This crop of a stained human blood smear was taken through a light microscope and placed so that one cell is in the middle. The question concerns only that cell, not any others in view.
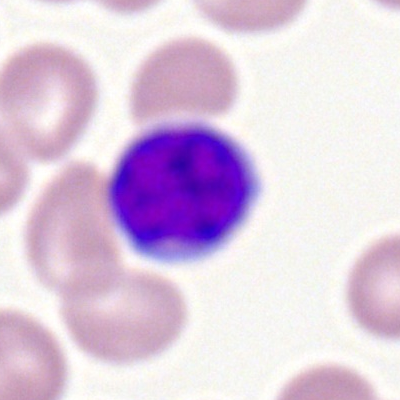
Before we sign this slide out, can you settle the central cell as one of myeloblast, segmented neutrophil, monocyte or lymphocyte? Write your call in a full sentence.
In the crop, the cell of interest at the centre is a lymphocyte.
